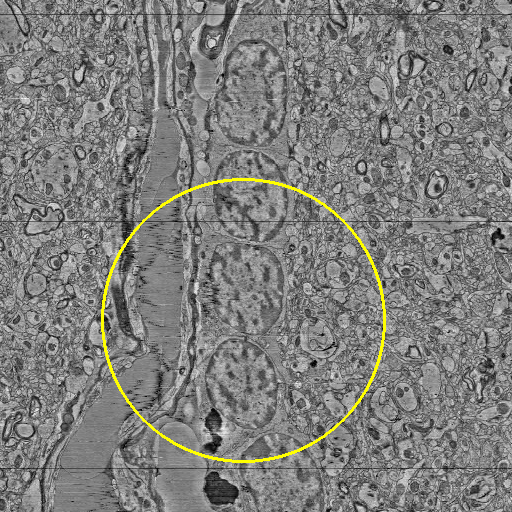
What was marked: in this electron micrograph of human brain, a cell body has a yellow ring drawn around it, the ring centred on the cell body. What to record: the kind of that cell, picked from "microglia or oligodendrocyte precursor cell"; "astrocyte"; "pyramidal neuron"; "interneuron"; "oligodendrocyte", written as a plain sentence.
The centred cell is an oligodendrocyte.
